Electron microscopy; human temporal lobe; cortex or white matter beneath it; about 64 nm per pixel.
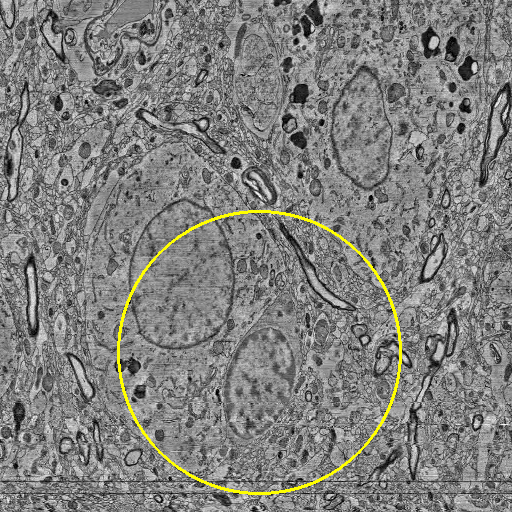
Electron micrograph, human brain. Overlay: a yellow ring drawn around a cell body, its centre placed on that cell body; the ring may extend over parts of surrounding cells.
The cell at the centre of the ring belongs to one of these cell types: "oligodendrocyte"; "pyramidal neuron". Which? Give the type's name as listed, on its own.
oligodendrocyte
